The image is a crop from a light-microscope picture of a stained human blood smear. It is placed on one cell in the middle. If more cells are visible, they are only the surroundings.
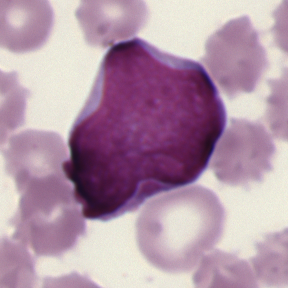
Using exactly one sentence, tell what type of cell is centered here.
The cell marked by its central position in the crop is a myeloblast.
